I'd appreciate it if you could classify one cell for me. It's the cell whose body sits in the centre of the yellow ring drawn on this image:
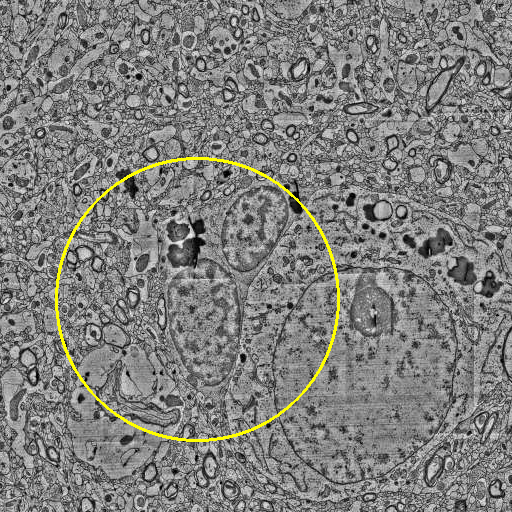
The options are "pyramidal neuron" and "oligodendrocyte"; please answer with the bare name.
oligodendrocyte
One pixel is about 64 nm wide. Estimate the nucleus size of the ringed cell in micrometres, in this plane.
The ringed cell's nucleus is roughly 8 by 5 micrometres and clearly longer than it is wide in this plane.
